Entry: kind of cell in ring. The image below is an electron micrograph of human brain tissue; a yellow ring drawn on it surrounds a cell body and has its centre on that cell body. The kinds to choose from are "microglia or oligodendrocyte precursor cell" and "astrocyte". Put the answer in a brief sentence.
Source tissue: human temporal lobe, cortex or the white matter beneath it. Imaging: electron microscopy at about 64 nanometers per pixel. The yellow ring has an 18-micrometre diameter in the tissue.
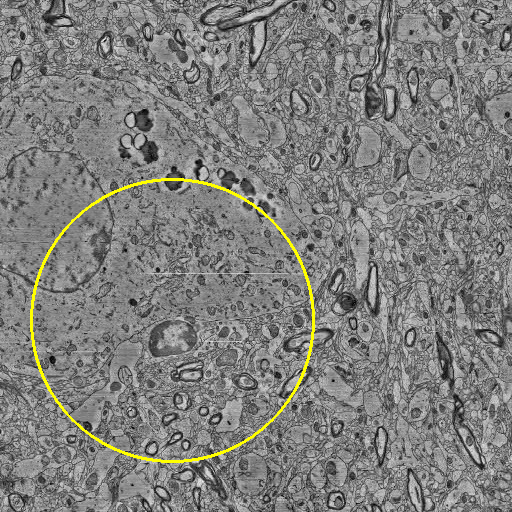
The ring has been drawn around a microglial cell or oligodendrocyte precursor cell.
